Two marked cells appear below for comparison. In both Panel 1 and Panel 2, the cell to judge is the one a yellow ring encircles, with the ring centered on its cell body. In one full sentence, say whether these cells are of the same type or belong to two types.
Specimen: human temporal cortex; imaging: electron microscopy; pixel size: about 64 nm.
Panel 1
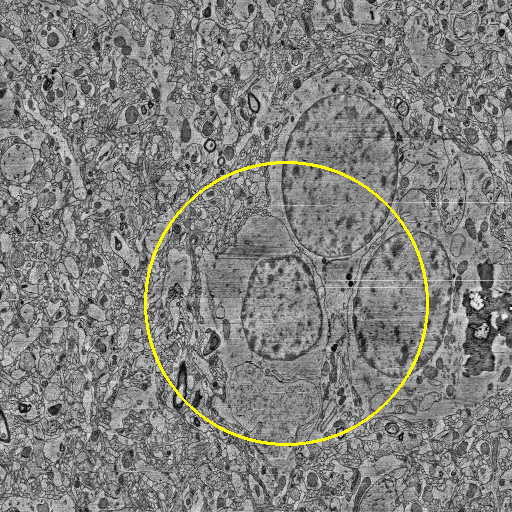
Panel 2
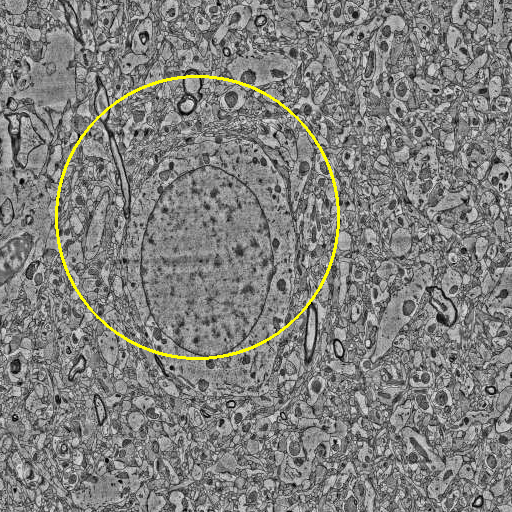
The cell centered in the Panel 1 ring and the one in Panel 2 belong to two types.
